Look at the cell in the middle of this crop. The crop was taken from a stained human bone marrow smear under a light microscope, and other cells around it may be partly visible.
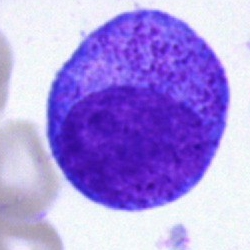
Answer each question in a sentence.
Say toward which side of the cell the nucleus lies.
The nucleus lies toward the bottom of the cell.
